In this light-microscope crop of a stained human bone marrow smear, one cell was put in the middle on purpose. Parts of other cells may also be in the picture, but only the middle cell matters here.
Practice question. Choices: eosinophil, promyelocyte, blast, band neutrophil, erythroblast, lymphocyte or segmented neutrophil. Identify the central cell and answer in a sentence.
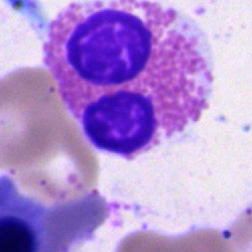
The cell at the middle of the frame should be recorded as an eosinophil.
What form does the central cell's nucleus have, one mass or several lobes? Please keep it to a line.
Look at the nucleus and you will find it divided into two or more lobes.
